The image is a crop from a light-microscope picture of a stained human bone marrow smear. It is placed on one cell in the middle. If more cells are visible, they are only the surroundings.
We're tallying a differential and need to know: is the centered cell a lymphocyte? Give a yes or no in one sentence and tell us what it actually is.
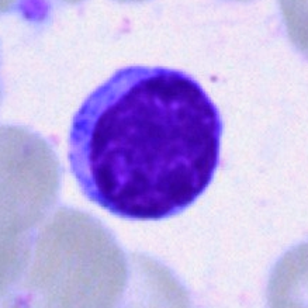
Yes, the cell shown at the crop's centre is a lymphocyte.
